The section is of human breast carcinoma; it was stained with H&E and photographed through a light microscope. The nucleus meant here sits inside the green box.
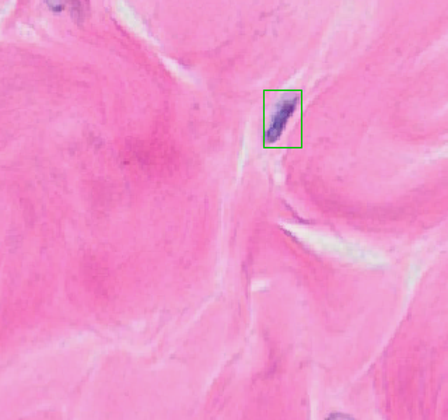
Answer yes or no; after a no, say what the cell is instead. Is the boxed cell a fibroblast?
Yes.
